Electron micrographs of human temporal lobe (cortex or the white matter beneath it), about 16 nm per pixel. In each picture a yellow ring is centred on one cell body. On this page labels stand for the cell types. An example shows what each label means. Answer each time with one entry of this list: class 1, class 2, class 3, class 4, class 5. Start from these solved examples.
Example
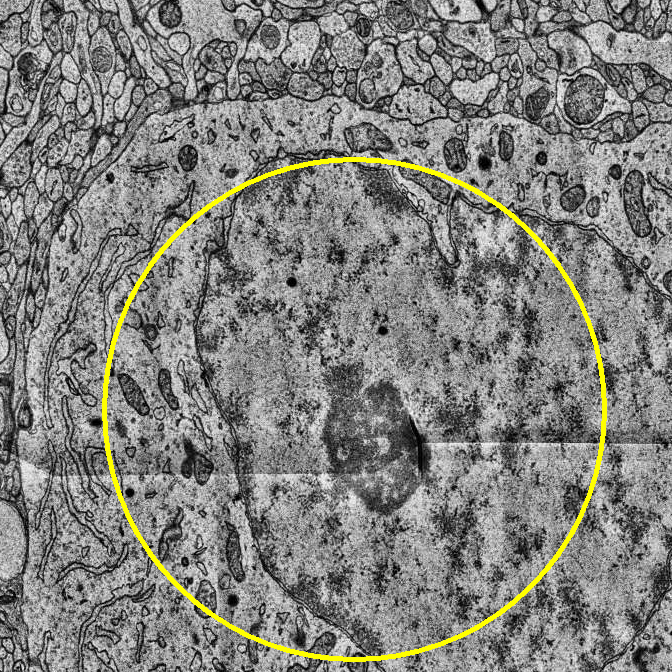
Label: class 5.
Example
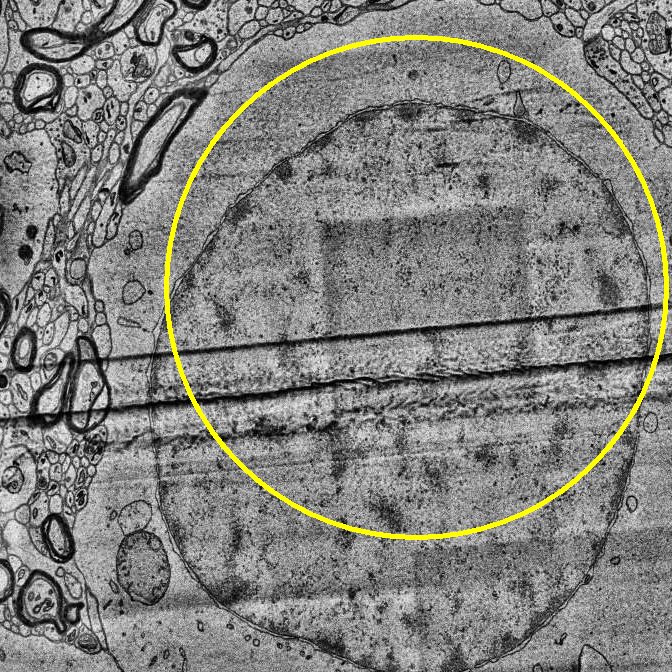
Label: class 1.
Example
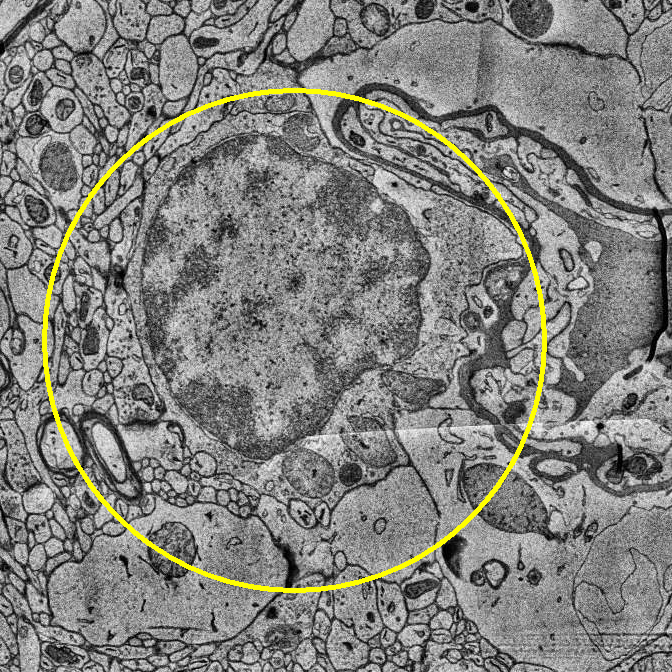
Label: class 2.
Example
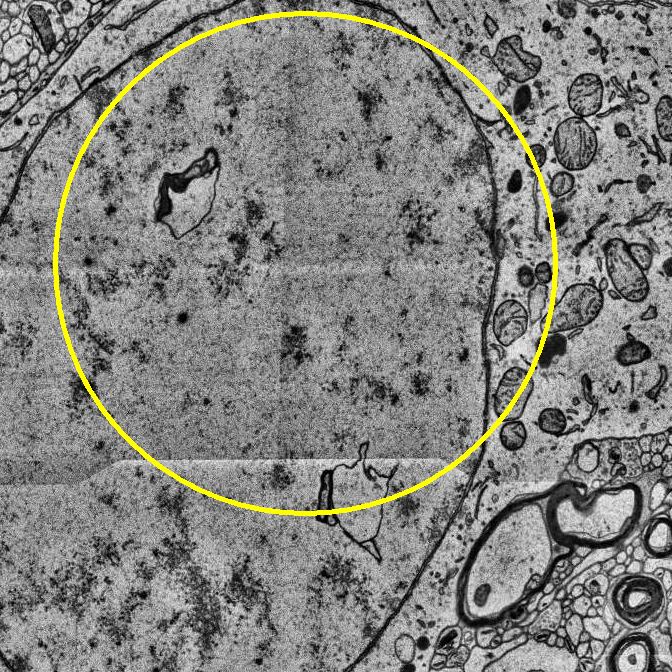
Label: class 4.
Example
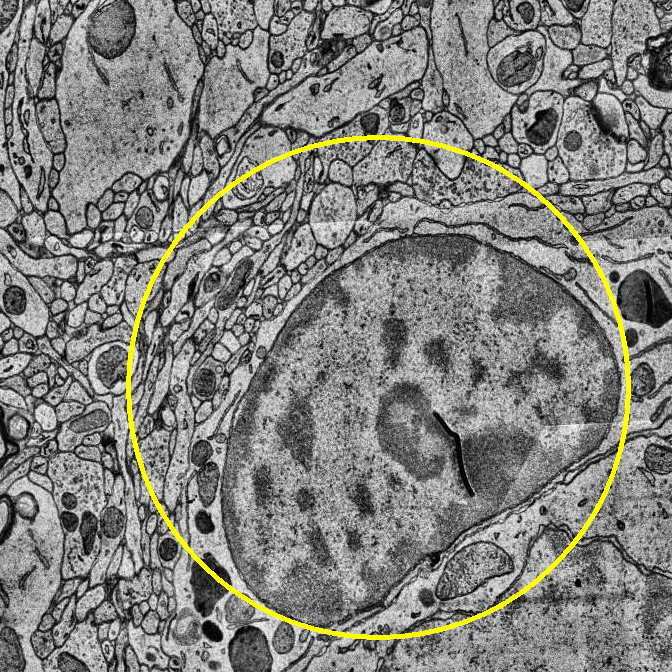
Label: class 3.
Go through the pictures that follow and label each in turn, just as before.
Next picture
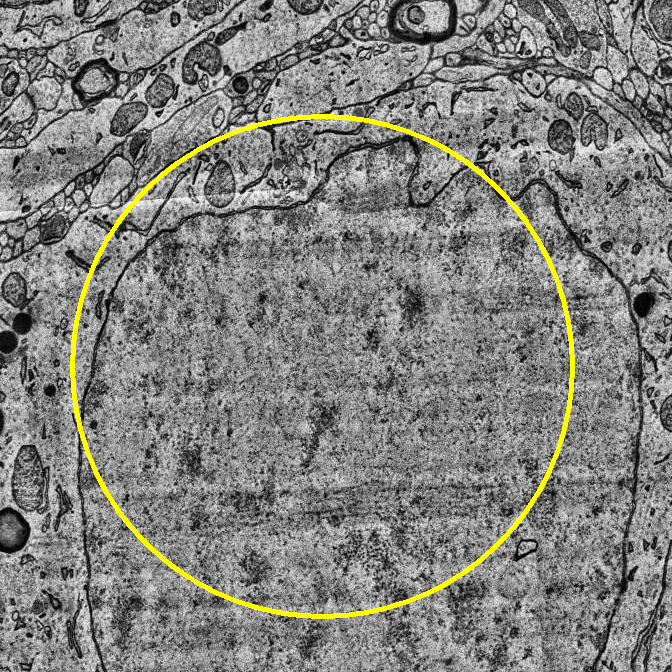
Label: class 4.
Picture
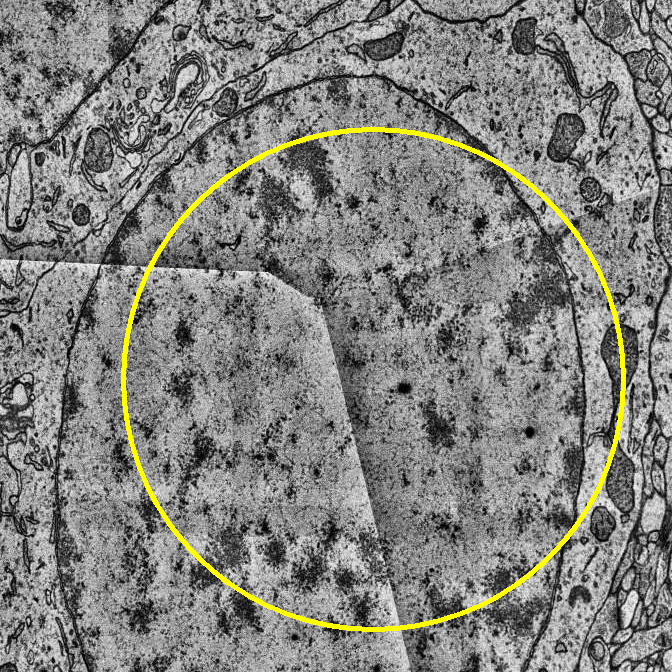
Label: class 4.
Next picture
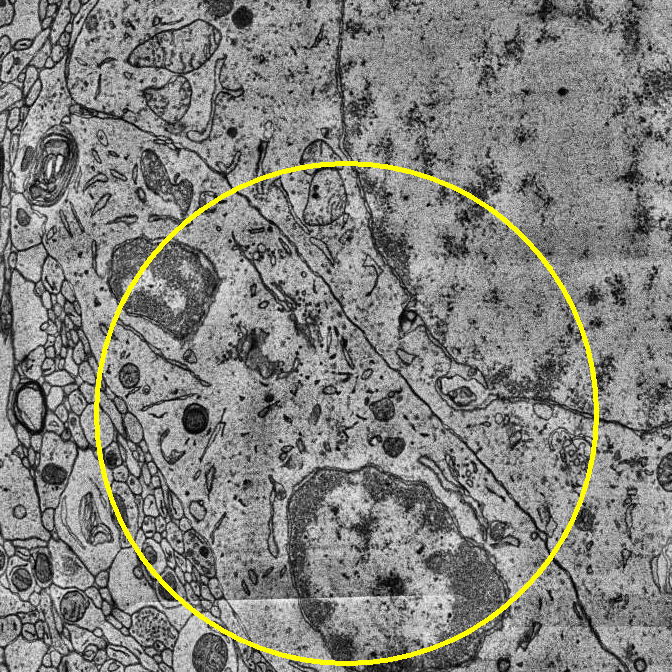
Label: class 3.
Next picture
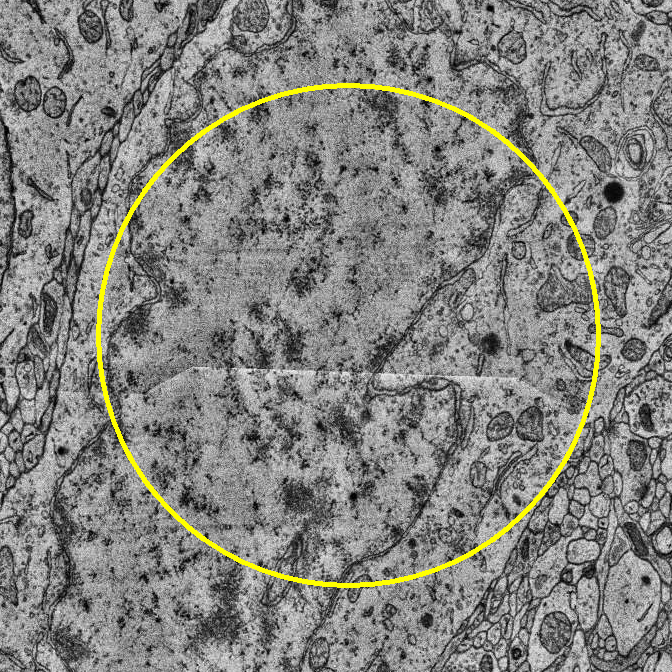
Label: class 5.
